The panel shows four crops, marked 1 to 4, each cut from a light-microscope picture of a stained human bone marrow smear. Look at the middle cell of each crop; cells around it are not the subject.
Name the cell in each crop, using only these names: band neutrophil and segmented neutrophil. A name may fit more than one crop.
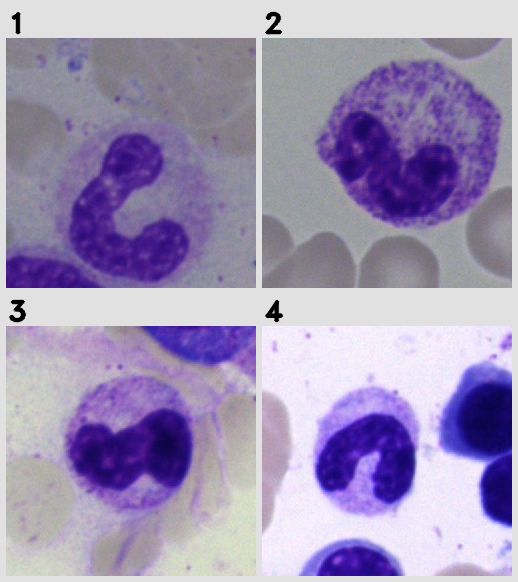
1: segmented neutrophil
2: segmented neutrophil
3: band neutrophil
4: band neutrophil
